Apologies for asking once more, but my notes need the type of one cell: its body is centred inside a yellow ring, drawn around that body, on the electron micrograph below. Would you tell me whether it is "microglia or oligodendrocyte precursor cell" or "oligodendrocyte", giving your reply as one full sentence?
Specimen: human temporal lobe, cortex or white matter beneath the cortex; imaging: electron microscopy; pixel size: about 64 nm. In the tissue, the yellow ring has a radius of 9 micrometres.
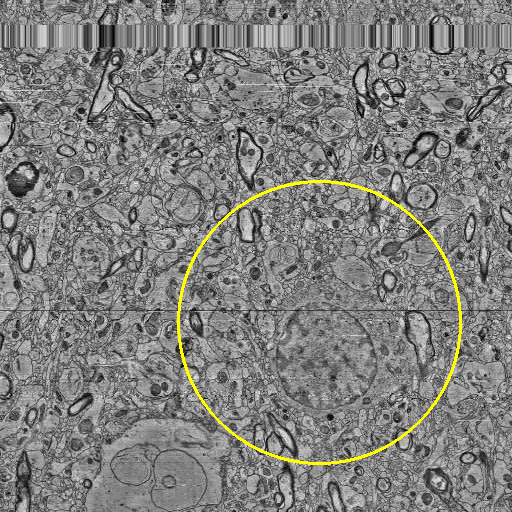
The cell that the yellow ring is centred on is an oligodendrocyte in this micrograph.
